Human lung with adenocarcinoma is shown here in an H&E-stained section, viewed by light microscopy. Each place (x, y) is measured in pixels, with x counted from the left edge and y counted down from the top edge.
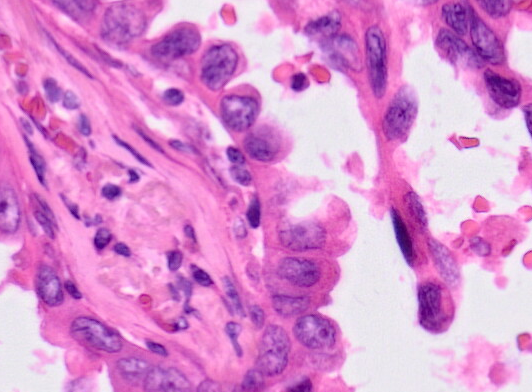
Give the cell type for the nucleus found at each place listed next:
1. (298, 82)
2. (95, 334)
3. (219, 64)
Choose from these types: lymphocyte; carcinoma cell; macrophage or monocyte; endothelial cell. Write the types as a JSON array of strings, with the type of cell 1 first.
["lymphocyte", "carcinoma cell", "carcinoma cell"]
